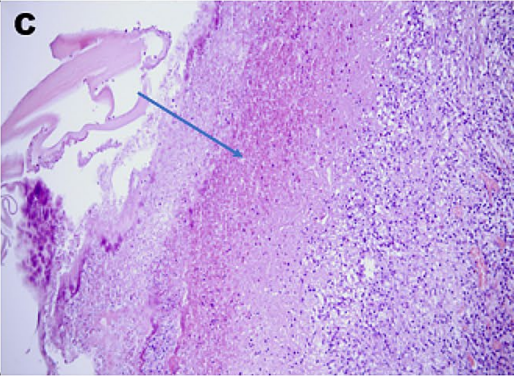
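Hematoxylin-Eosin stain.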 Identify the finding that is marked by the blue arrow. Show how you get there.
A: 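Necrotic areas. The arrow ends in a broad band of pale pink, granular material. That band holds few intact nuclei compared with the tissue to its right. The band lies between a pale folded acellular membrane and a densely nucleated zone.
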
